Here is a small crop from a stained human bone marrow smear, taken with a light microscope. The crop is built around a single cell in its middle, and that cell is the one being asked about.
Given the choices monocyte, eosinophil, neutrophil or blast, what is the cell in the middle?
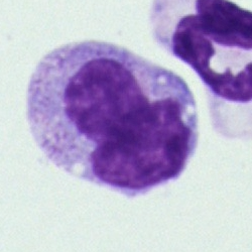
monocyte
